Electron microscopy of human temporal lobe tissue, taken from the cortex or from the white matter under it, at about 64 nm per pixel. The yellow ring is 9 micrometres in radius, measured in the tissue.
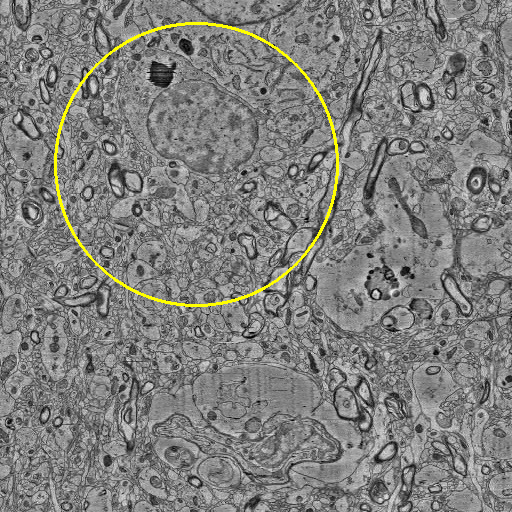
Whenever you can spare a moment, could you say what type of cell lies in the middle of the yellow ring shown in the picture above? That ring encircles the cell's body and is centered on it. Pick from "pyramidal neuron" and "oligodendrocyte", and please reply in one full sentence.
The cell whose body sits at the middle of the yellow ring is an oligodendrocyte.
